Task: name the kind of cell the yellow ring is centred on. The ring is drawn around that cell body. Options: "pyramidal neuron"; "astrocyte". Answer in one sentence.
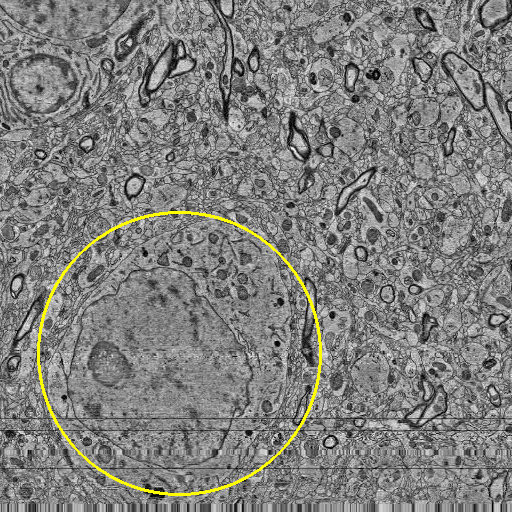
This cell body belongs to a pyramidal neuron.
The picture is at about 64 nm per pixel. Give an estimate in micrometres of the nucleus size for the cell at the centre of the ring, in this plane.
Roughly 12 micrometres across, measured in this plane.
